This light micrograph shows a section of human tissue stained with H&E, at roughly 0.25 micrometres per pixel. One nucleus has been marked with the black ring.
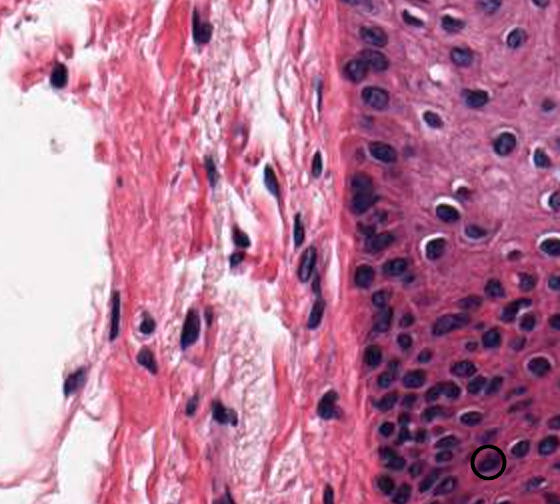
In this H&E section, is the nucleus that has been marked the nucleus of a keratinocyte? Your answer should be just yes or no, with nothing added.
yes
